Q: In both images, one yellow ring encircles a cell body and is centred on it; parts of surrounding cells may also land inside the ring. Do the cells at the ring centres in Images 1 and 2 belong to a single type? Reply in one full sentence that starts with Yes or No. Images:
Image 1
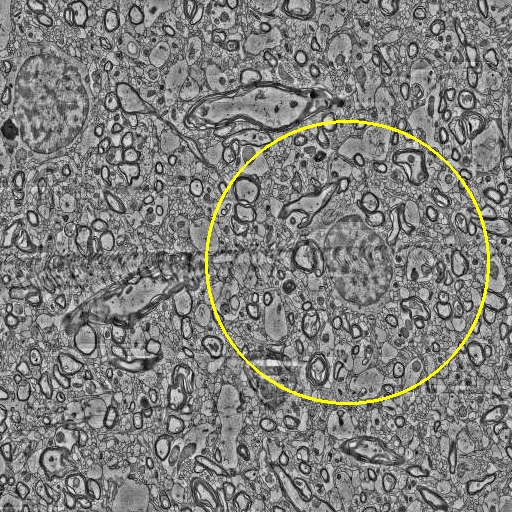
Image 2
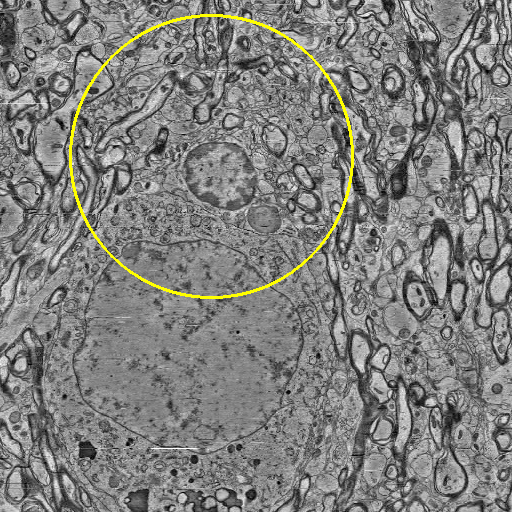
No, the cells at the ring centres in Images 1 and 2 are of two types.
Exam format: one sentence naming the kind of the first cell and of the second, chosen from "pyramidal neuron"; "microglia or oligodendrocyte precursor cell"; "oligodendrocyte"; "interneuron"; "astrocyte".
The first picture's cell is an oligodendrocyte, and the second picture's cell is a microglial cell or oligodendrocyte precursor cell.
